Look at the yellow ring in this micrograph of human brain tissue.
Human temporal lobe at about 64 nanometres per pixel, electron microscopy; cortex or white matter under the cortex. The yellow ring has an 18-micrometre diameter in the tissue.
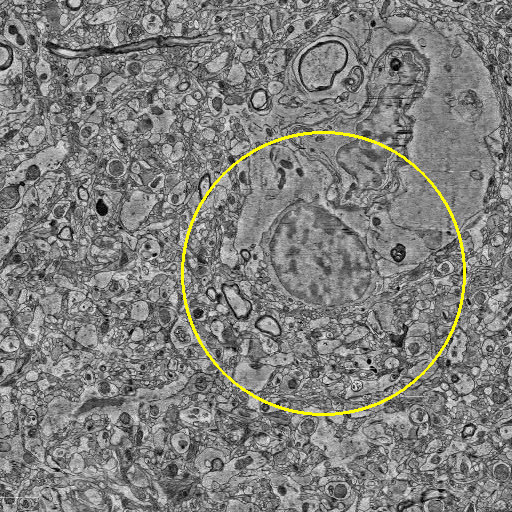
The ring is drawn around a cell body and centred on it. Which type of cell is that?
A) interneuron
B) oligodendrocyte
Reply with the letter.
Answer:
B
